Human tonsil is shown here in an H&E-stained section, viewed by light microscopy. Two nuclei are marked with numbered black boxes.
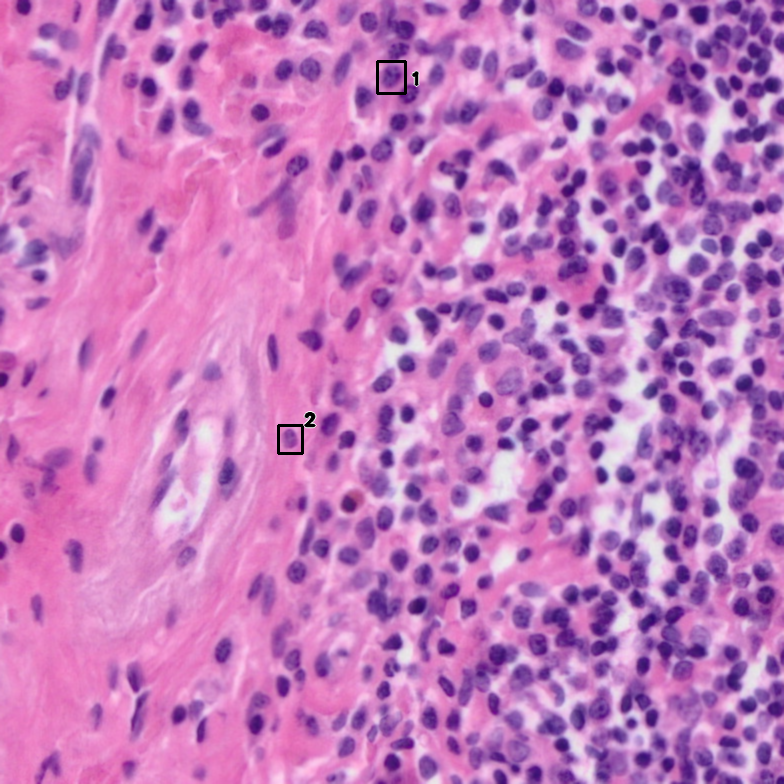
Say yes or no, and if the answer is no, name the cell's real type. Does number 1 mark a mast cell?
No, it is a plasma cell.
